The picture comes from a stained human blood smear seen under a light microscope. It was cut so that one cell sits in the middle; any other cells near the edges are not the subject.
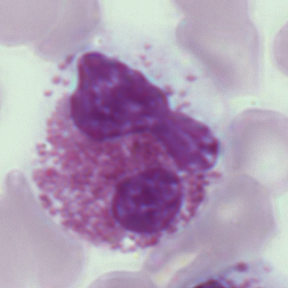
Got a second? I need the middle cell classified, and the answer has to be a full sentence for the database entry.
This crop is built around an eosinophil at its centre.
